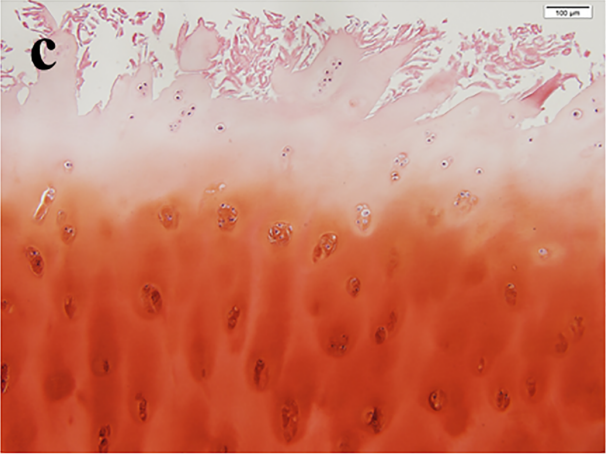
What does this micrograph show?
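This is articular cartilage whose free surface is broken up into frayed, loose strands and fragments of matrix. Beneath the ragged surface lies a broad pale zone with little orange-red staining and only sparse small chondrocytes in their lacunae. Deeper down the matrix stains an even orange-red, and chondrocytes sit in rounded or oval lacunae scattered through it. Some of these lacunae are enlarged and hold two or more cells together. The deeper cells tend to lie in loose vertical arrangement, while the surface zone has lost its smooth continuous edge.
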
